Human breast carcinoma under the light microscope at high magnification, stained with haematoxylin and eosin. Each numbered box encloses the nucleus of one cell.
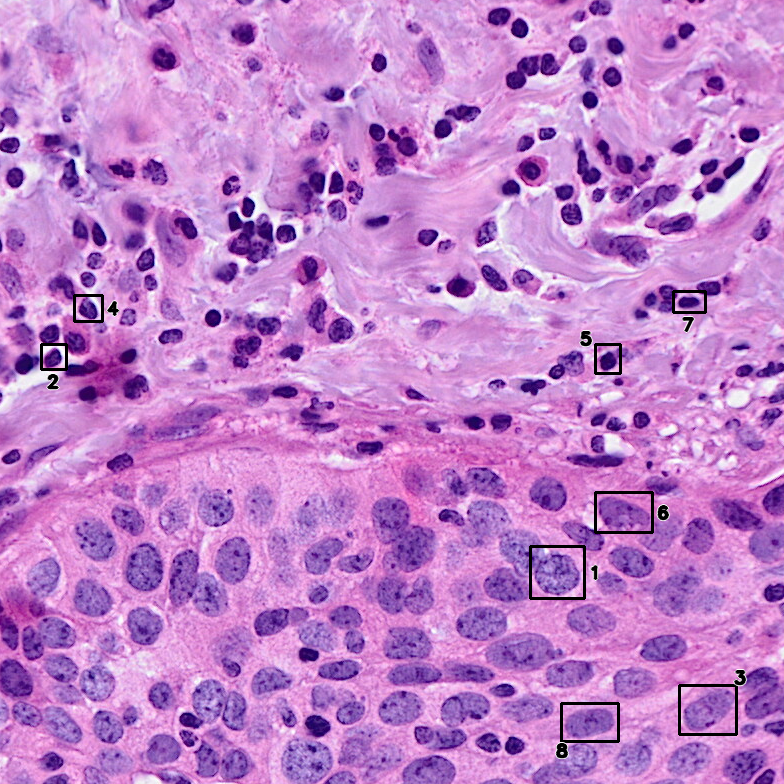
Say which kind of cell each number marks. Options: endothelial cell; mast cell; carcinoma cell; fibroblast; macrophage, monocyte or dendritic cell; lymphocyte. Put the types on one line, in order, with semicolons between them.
carcinoma cell; lymphocyte; carcinoma cell; lymphocyte; lymphocyte; carcinoma cell; lymphocyte; carcinoma cell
